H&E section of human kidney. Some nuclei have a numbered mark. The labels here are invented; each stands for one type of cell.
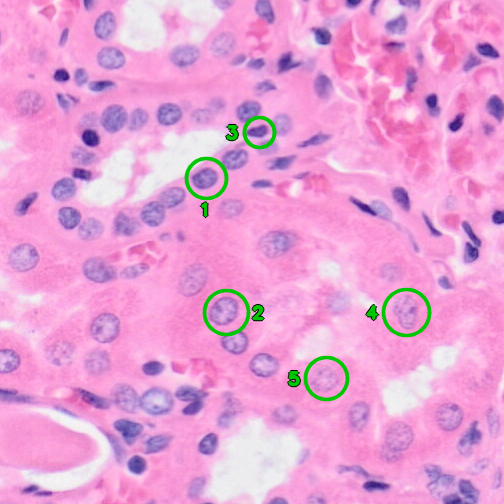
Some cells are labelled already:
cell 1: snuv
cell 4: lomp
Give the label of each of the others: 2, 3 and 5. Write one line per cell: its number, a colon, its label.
2: lomp
3: snuv
5: lomp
